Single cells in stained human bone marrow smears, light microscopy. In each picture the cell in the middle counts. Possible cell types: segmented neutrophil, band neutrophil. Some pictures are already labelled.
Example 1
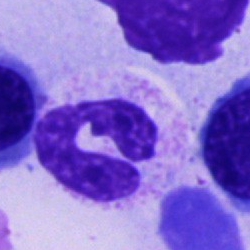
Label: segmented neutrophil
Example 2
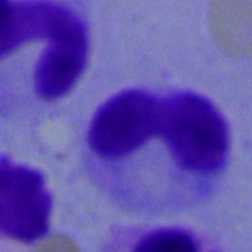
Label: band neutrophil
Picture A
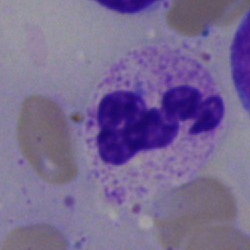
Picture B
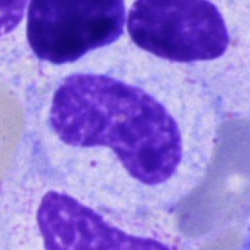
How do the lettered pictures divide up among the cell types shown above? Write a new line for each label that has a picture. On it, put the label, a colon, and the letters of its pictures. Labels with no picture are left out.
segmented neutrophil: A
band neutrophil: B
